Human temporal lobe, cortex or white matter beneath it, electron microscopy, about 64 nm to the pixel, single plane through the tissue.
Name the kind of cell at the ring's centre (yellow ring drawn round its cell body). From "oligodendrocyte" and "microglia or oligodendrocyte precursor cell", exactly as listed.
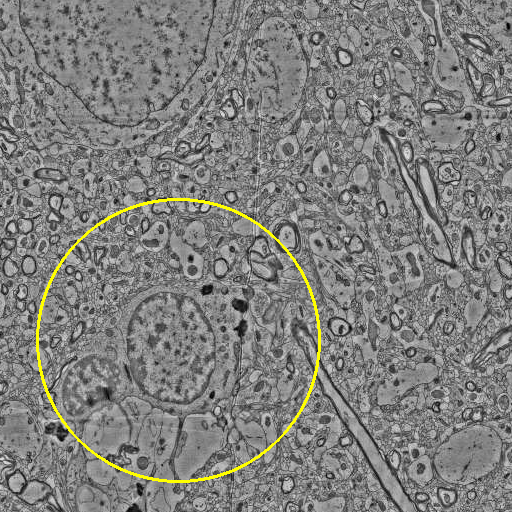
oligodendrocyte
